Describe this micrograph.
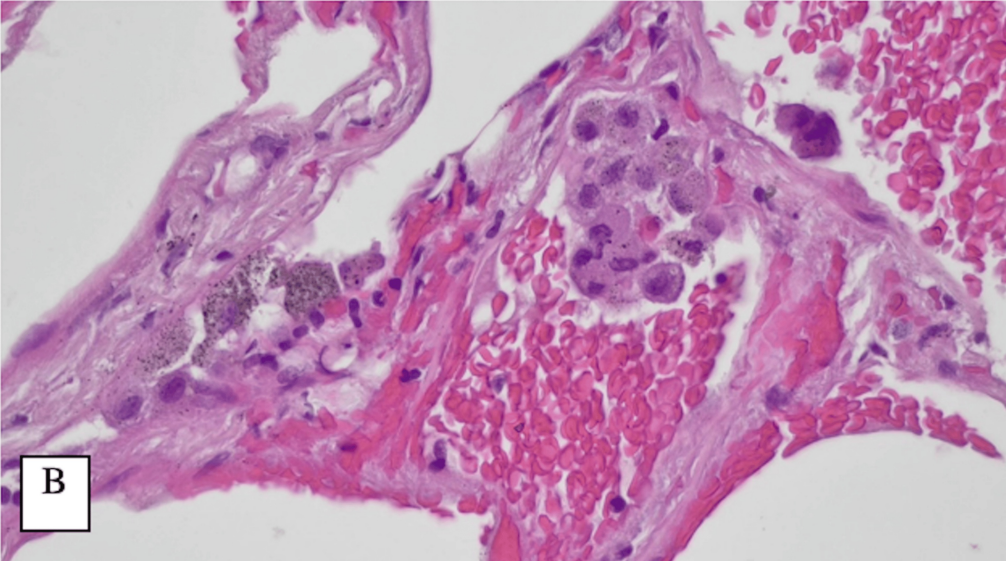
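Lung tissue with extravasated red blood cells filling the spaces between thin fibrous septa, beside clusters of large macrophages. The macrophages are rounded with abundant pale to grey-purple cytoplasm and round nuclei, and many hold fine brown-black granular pigment. A few small dark lymphocyte-like nuclei and spindle-shaped stromal nuclei lie in the septa nearby.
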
